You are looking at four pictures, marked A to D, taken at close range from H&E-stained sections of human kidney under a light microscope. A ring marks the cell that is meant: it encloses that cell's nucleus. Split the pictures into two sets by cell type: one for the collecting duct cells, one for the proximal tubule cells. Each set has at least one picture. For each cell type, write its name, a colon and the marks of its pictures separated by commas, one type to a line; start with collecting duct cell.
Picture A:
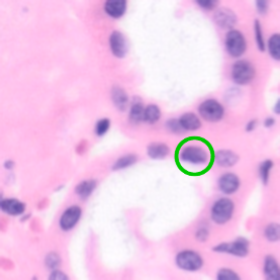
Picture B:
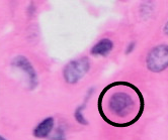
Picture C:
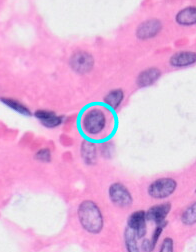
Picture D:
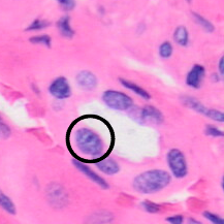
collecting duct cell: A, C, D
proximal tubule cell: B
